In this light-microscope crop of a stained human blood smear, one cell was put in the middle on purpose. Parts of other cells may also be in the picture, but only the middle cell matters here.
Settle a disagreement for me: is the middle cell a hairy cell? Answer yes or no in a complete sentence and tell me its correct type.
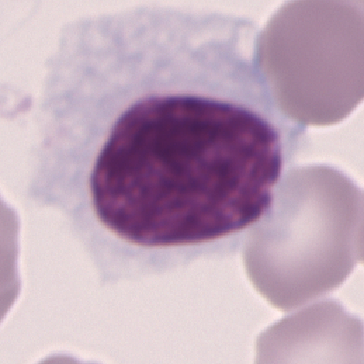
Yes, the cell that occupies the centre is a hairy cell.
